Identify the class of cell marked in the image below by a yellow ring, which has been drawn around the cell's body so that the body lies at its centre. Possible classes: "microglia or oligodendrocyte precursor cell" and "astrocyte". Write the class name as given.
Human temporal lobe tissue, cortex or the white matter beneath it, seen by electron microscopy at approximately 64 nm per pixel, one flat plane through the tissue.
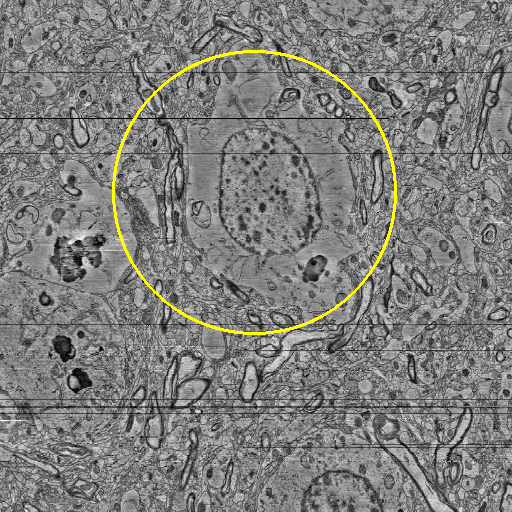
astrocyte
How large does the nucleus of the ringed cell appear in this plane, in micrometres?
About 9 micrometres by about 6 micrometres in this plane.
